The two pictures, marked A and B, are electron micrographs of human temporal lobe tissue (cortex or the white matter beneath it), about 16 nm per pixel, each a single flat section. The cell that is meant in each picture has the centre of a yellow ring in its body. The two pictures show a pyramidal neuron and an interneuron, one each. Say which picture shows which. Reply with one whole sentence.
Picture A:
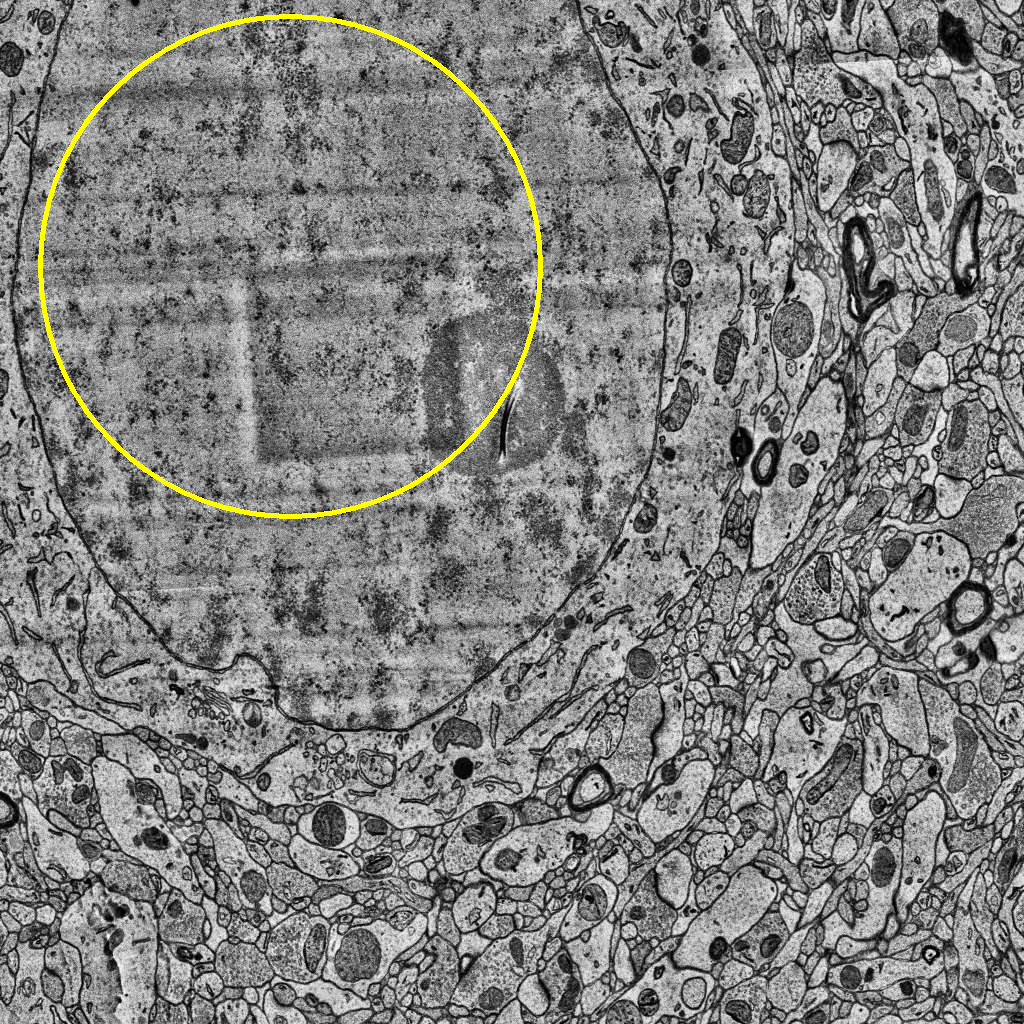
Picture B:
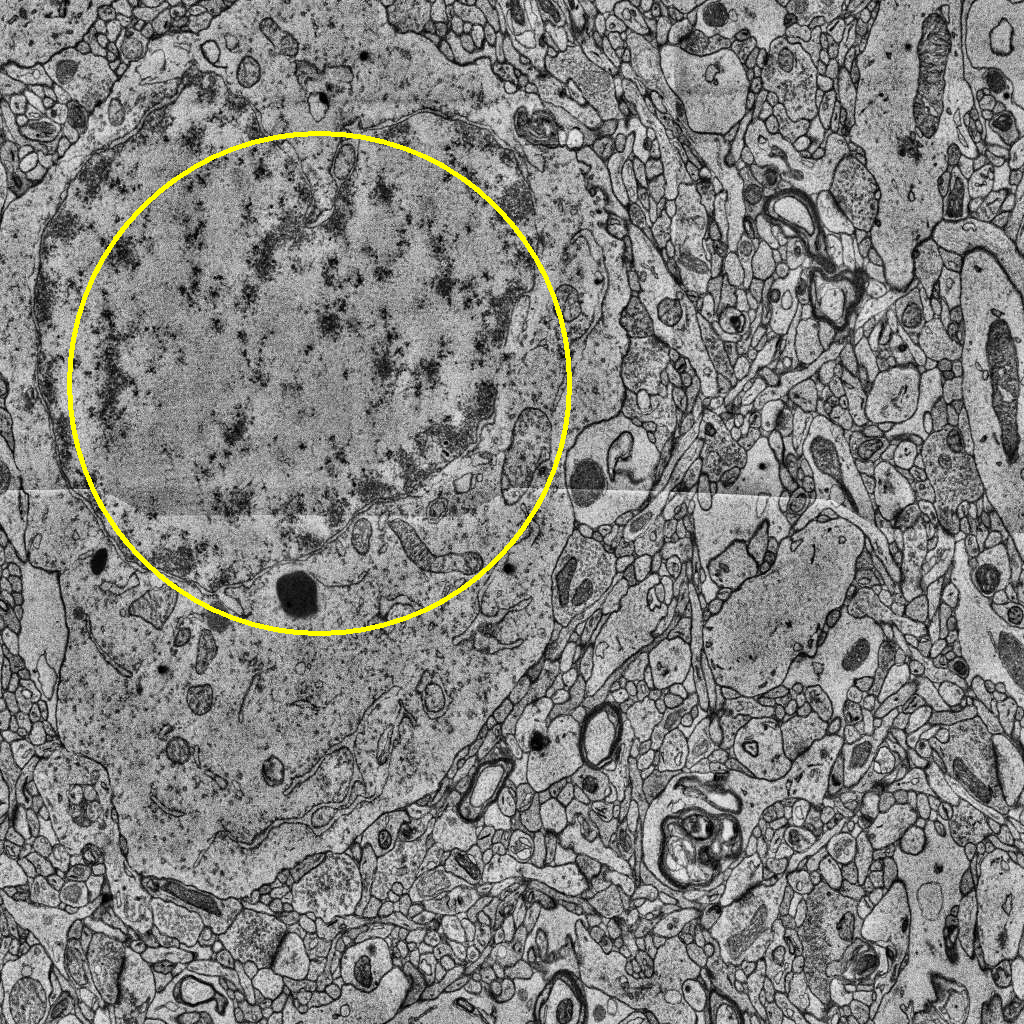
The cell in picture A is a pyramidal neuron, and the one in picture B is an interneuron.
